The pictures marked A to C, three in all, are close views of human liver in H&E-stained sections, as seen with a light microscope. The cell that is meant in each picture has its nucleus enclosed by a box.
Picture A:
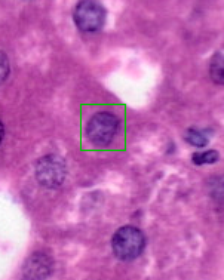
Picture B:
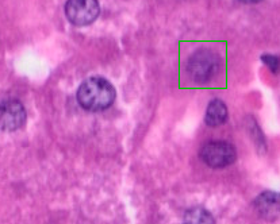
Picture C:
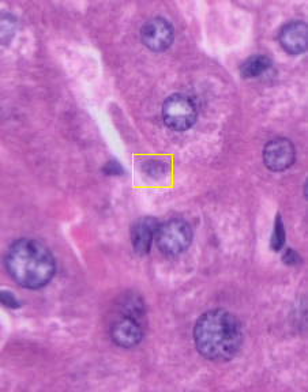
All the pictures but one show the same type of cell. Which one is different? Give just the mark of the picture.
C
